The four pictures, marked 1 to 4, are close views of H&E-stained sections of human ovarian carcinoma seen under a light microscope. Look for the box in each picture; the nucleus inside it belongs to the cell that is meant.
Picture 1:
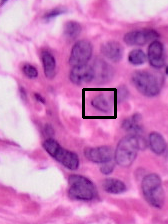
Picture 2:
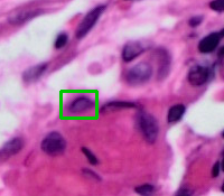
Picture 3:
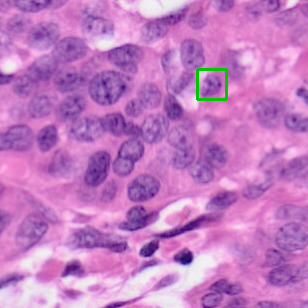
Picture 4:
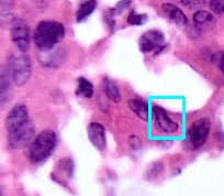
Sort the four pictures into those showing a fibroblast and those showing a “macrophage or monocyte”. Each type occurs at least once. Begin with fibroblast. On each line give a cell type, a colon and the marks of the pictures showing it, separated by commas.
fibroblast: 2
macrophage or monocyte: 1, 3, 4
